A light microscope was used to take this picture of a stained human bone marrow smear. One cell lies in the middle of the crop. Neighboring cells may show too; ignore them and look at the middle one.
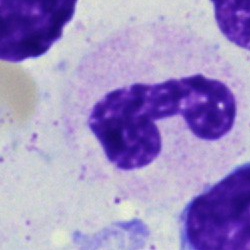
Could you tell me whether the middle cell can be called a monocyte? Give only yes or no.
no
